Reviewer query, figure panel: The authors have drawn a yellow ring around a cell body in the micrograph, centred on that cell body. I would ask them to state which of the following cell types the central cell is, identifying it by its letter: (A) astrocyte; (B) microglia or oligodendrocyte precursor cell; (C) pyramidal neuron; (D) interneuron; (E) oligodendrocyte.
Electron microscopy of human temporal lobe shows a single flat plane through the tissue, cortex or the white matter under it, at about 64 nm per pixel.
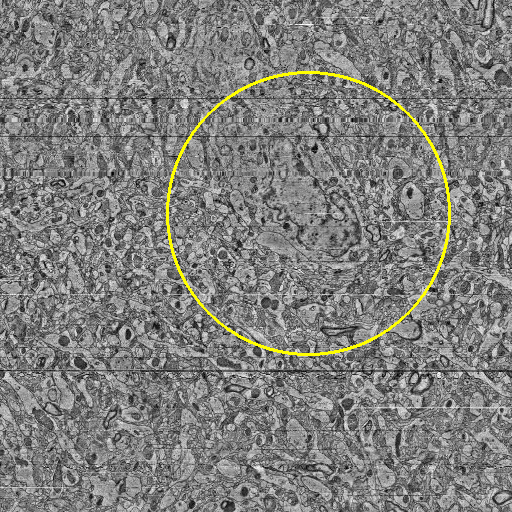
D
